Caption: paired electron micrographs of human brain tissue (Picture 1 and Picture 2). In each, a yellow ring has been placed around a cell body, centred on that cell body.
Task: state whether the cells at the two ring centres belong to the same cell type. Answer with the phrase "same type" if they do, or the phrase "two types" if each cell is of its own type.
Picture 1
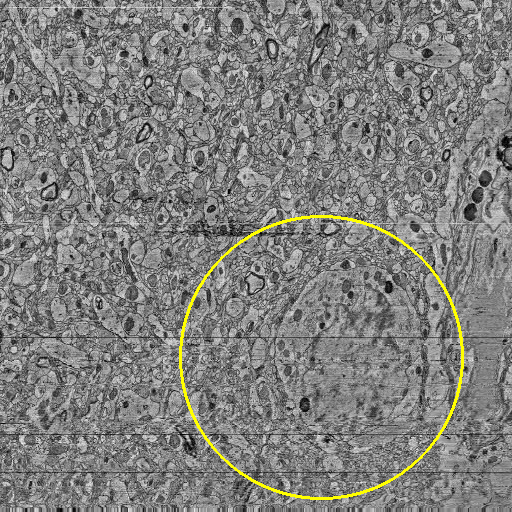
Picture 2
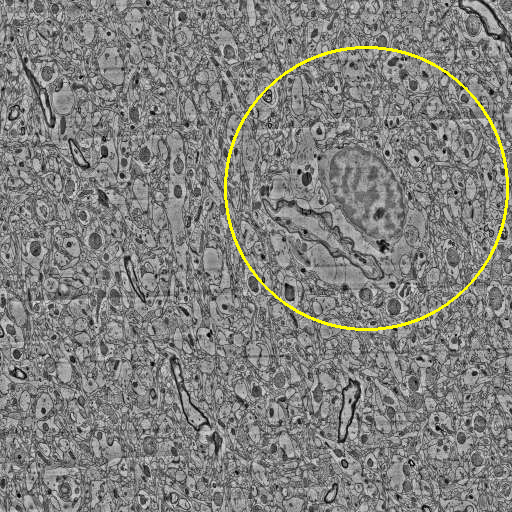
two types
